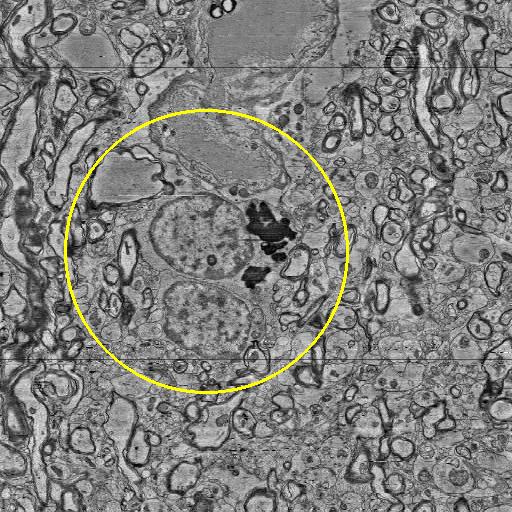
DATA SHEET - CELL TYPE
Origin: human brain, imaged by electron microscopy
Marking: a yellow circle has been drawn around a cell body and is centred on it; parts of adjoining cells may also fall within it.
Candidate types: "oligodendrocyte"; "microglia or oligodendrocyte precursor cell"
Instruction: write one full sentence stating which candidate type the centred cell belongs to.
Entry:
The cell body at the centre of the yellow ring in this micrograph belongs to an oligodendrocyte.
